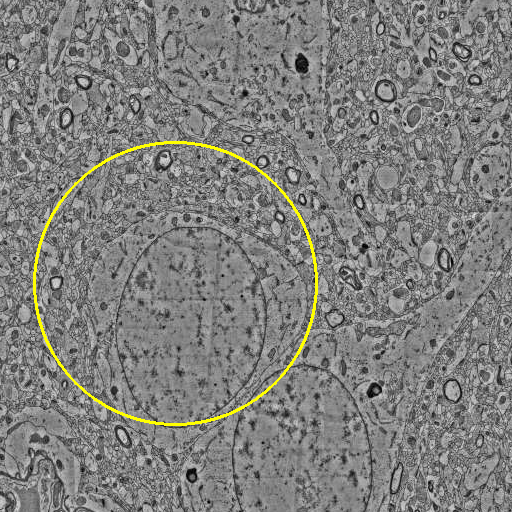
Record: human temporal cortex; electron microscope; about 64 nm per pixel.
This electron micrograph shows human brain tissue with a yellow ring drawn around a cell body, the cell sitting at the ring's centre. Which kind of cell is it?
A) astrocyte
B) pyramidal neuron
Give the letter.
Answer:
B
